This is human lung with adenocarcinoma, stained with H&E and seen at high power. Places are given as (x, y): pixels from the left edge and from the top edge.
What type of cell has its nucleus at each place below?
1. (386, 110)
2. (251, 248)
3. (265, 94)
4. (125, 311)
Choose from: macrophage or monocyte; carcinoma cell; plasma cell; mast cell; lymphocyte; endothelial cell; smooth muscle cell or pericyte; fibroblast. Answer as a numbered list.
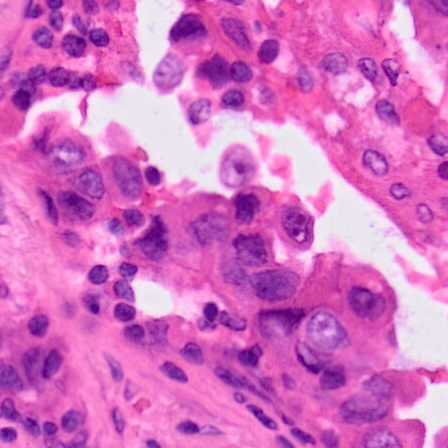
1. macrophage or monocyte
2. carcinoma cell
3. macrophage or monocyte
4. lymphocyte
